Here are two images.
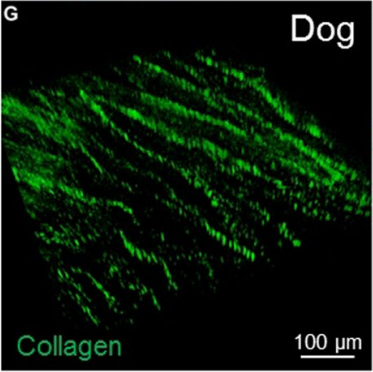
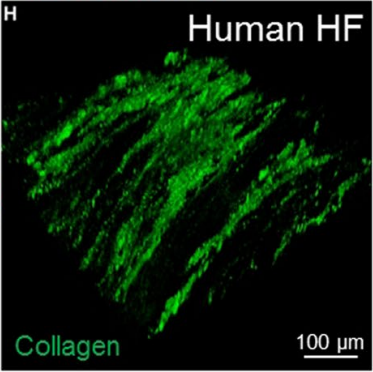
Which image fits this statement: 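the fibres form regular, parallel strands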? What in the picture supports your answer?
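The first image. First image: the green signal forms many thin, separate strands running parallel in one direction.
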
